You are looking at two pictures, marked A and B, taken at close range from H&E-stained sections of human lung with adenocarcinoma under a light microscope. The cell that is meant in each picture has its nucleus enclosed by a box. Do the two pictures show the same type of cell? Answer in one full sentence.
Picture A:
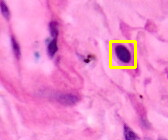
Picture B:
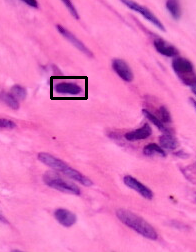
No, they differ: the cell is a mast cell in picture A and a plasma cell in picture B.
